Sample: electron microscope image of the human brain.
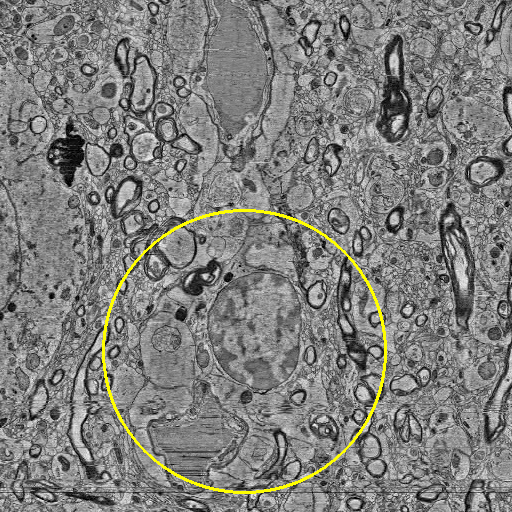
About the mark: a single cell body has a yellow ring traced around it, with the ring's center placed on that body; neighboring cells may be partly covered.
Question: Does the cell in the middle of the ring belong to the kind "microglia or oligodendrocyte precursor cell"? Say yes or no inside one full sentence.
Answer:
Yes, the cell at the ring's center in this image belongs to that kind.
